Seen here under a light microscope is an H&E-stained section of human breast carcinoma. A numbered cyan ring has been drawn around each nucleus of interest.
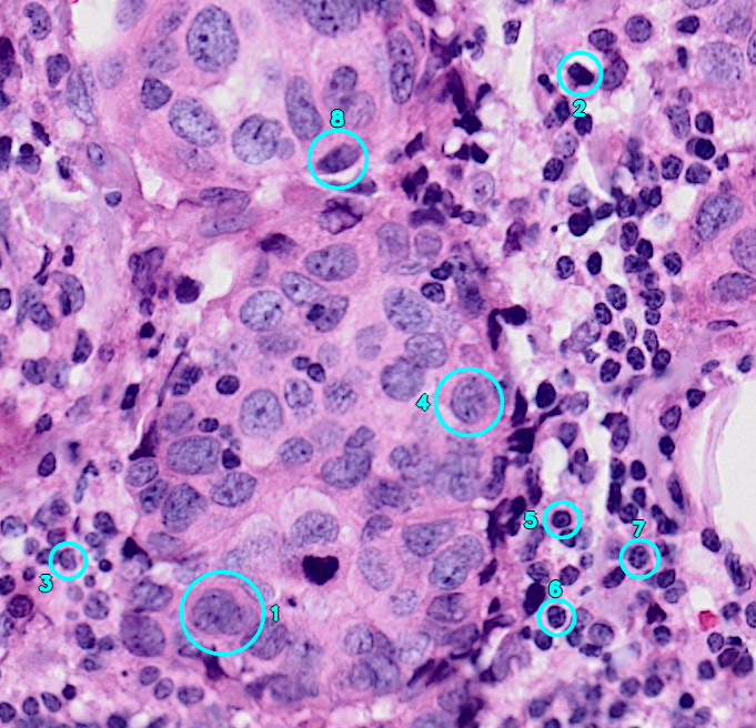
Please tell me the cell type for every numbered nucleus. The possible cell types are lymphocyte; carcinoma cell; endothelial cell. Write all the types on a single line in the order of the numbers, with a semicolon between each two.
carcinoma cell; lymphocyte; lymphocyte; carcinoma cell; lymphocyte; lymphocyte; lymphocyte; carcinoma cell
